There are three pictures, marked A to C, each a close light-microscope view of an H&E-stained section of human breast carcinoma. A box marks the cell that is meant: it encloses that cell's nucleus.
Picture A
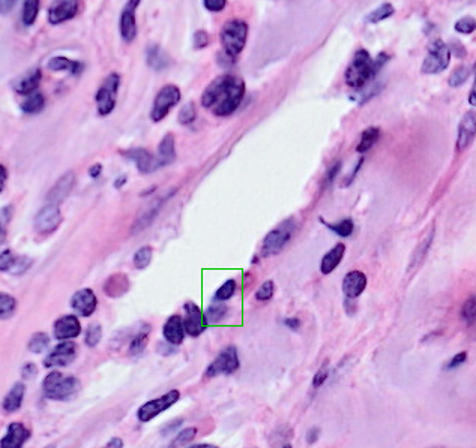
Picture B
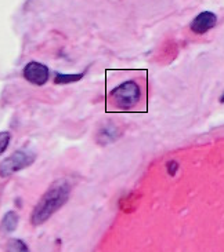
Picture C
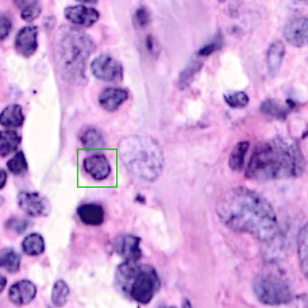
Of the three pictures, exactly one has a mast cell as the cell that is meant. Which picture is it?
B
